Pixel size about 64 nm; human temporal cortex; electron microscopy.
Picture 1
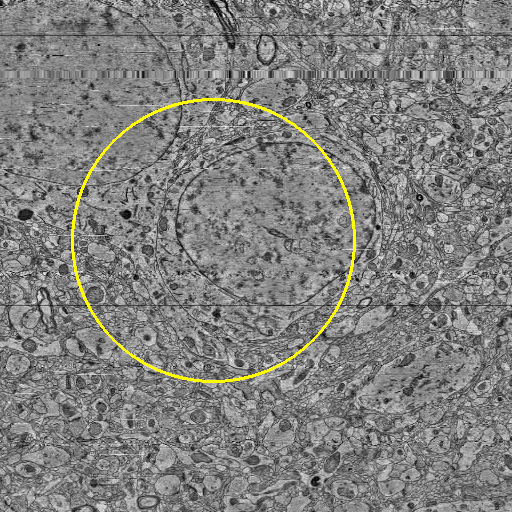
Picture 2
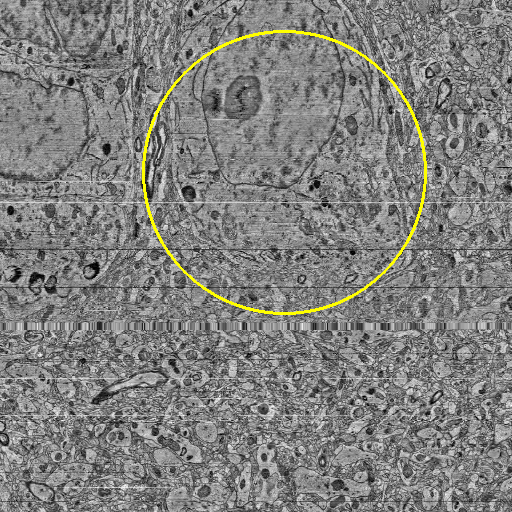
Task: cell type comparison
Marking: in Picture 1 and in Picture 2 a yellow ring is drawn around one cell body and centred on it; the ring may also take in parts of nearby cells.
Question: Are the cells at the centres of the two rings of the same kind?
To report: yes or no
yes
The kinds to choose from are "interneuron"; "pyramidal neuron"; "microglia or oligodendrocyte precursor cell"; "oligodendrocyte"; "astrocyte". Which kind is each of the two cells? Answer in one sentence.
Both rings mark a pyramidal neuron, one in each picture.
